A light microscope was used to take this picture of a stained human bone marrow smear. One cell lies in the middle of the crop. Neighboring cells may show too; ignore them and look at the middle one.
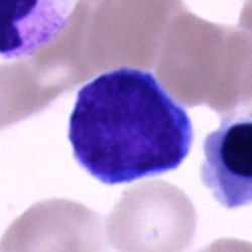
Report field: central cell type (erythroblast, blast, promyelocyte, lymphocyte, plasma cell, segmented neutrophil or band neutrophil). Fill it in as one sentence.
Classified as a lymphocyte is the cell in the middle of this crop.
